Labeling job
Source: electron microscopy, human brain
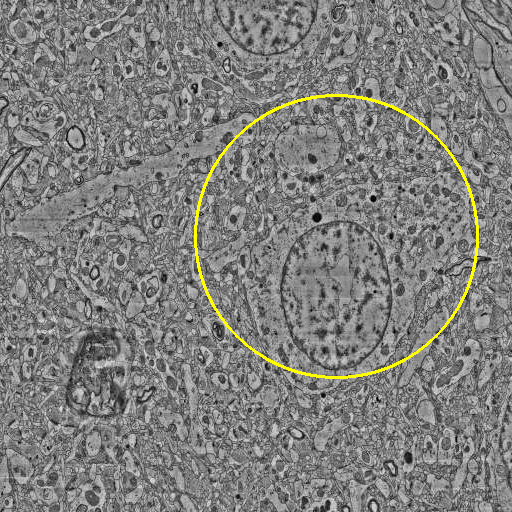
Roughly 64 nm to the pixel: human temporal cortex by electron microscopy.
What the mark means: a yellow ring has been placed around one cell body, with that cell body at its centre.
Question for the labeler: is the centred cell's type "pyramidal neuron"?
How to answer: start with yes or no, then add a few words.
Yes, that is its type.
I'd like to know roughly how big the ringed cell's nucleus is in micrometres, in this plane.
In this plane the nucleus is about 10 micrometres by 7.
